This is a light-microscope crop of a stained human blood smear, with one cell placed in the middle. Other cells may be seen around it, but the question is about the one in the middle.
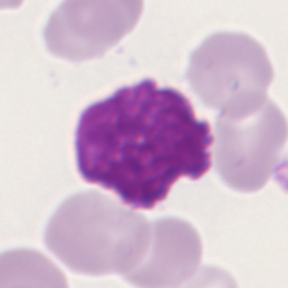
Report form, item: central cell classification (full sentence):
Centred in the crop is a smudge cell.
